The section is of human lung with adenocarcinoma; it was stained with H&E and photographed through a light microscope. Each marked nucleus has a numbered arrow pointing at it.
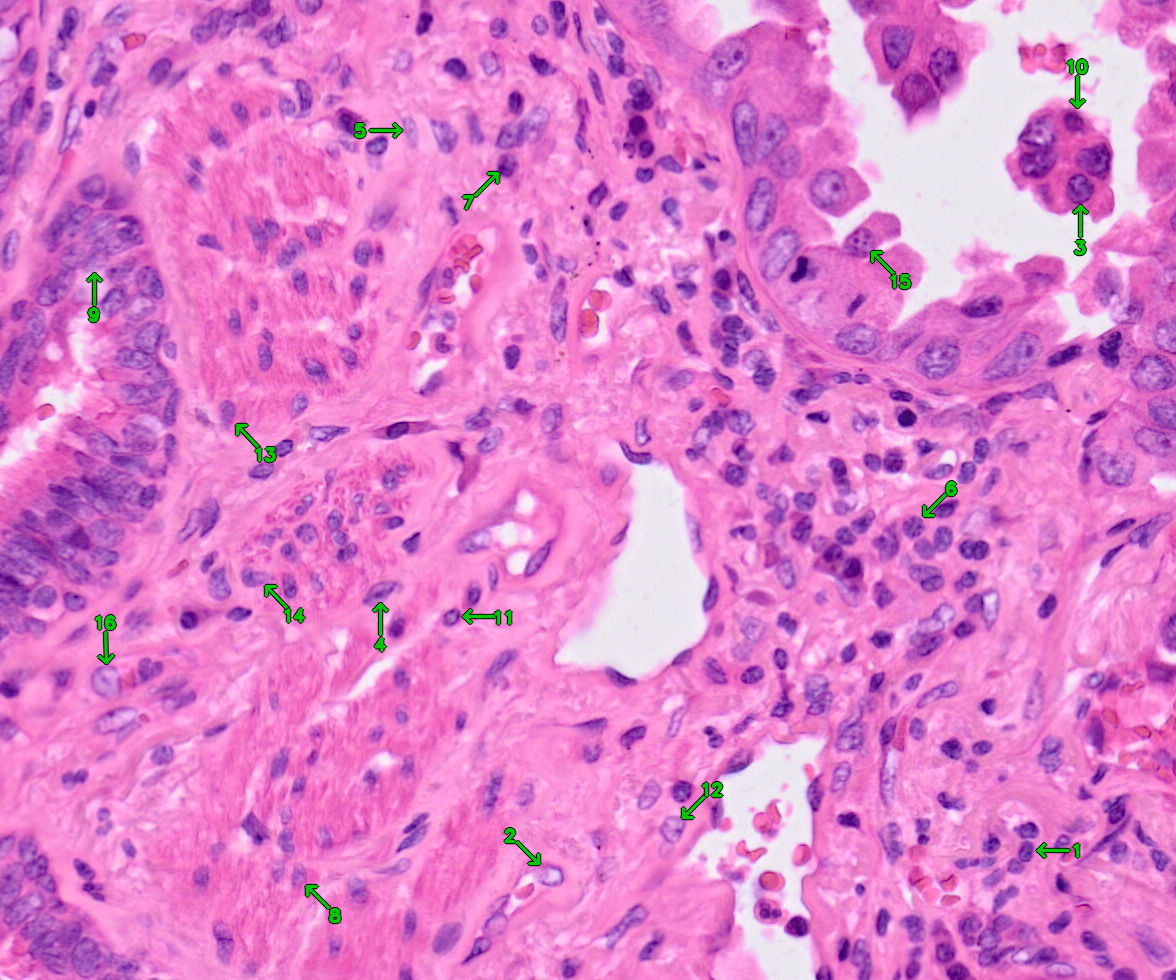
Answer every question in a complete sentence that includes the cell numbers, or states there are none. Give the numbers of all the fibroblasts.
On this slide, the cells numbered 4, 5 and 12 are fibroblasts.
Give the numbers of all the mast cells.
Only the cell numbered 11 qualifies as a mast cell among the marked cells.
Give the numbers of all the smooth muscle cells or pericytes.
The cells given the numbers 8, 13 and 14 are smooth muscle cells or pericytes.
